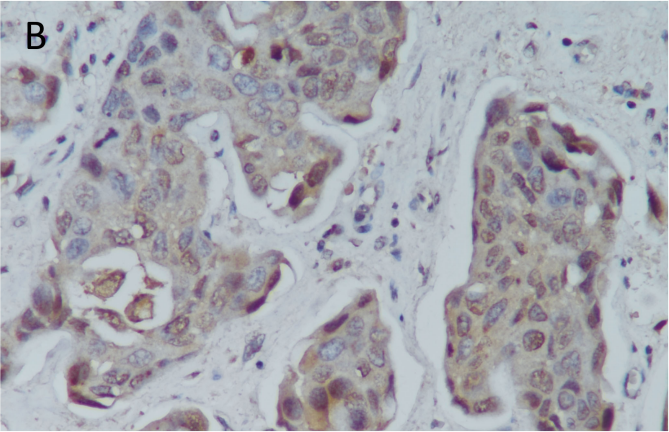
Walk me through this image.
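Several rounded and irregular nests of large epithelial tumor cells lie in pale, loose stroma, each nest separated from the stroma by a clear retraction space. The cells have large oval, vesicular nuclei of varying size with small nucleoli and a moderate amount of cytoplasm. A few spindle-shaped stromal cells are scattered in the surrounding connective tissue.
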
